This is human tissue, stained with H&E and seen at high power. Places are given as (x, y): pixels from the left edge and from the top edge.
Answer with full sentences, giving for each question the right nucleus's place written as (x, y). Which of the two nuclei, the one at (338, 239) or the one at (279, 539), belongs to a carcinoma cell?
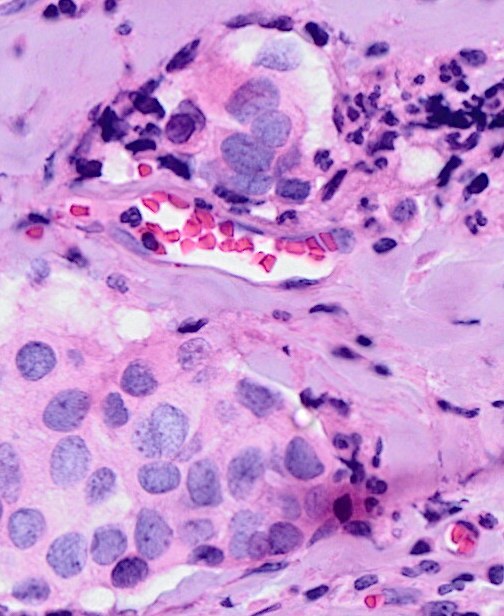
Of the two nuclei, that at (279, 539) is the nucleus of a carcinoma cell.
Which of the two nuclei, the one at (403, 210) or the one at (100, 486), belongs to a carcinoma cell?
Of these two nuclei, only the one at (100, 486) belongs to a carcinoma cell.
